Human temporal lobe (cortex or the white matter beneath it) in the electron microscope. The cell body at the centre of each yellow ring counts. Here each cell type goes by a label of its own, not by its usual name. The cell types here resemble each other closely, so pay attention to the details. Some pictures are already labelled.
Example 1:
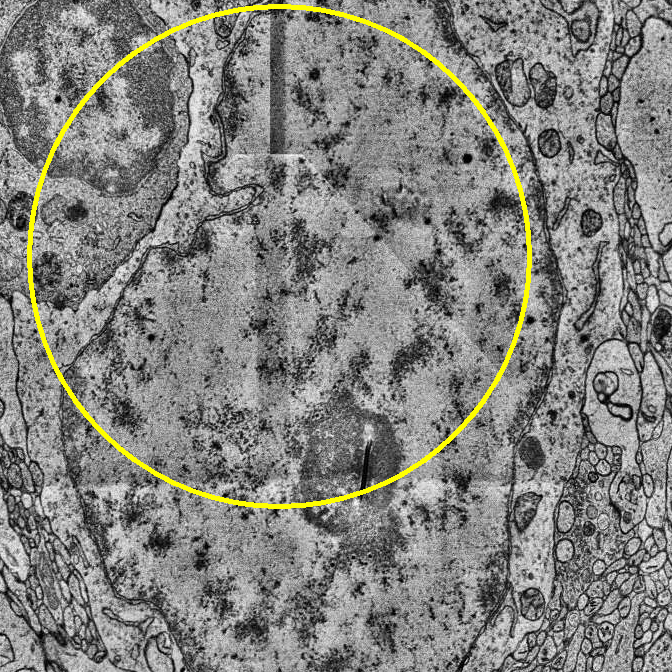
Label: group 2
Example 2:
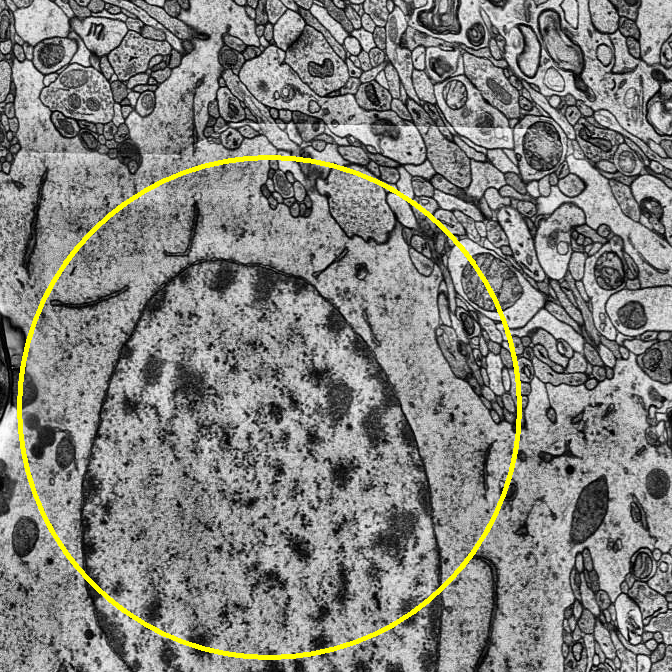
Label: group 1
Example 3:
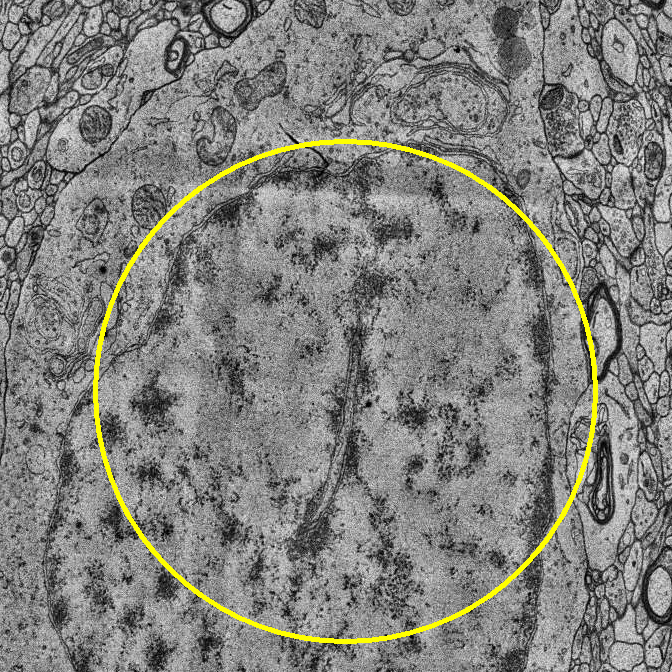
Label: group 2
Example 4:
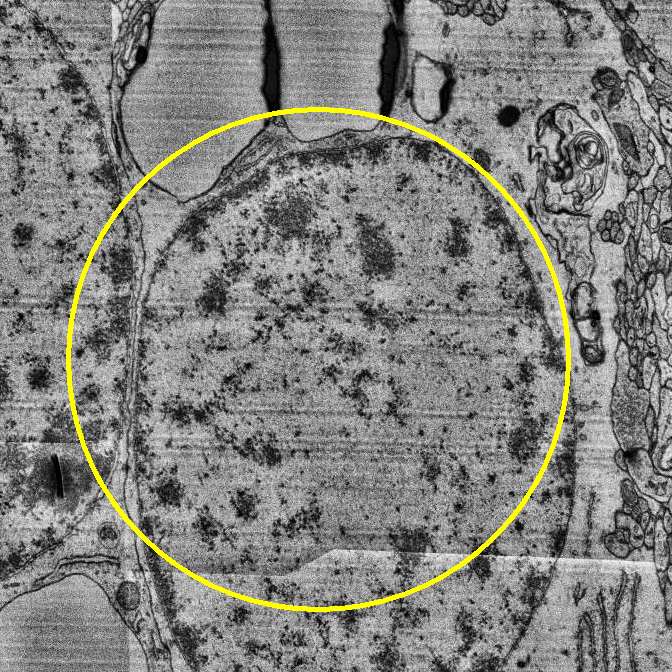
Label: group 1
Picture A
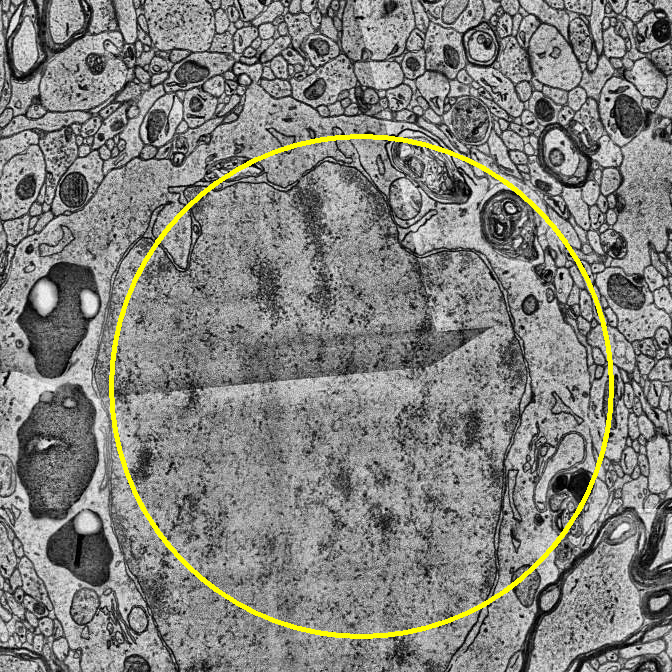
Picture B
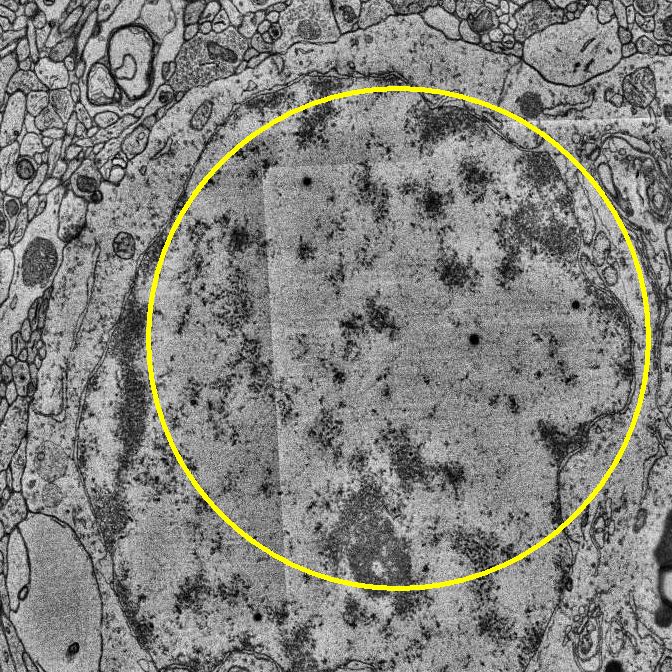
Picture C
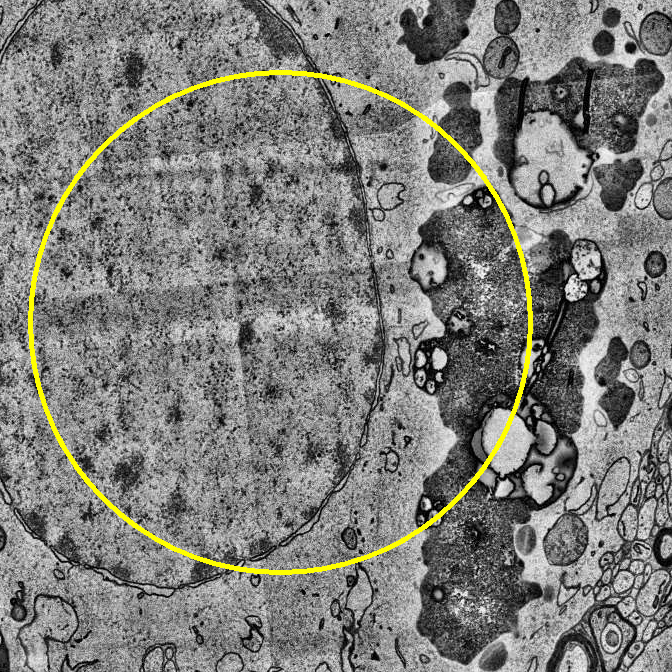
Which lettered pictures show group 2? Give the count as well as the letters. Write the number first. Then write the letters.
2: A, B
